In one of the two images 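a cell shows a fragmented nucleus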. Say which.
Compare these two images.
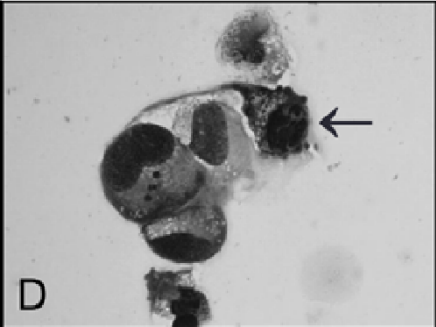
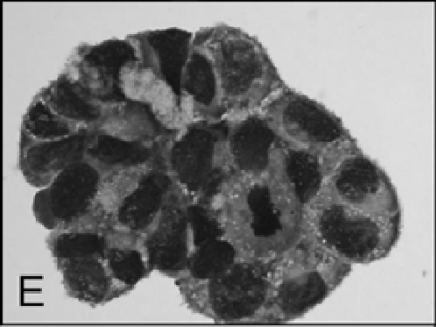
the first image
